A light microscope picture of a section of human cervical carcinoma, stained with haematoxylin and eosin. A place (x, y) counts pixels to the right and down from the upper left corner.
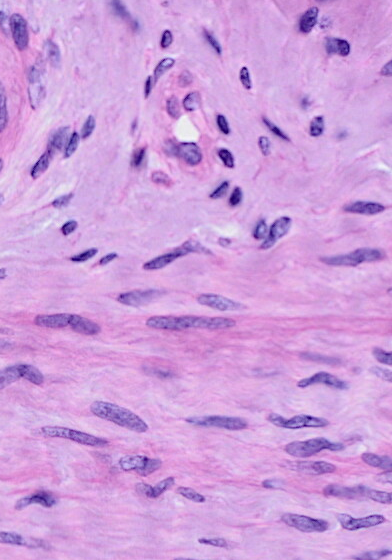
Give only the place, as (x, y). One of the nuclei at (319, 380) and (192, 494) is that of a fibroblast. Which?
(319, 380)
